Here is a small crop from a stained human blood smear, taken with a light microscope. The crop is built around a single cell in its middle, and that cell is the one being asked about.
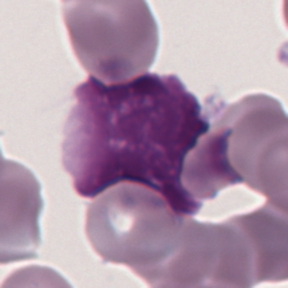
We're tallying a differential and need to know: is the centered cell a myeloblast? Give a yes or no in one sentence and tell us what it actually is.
No, rather than being a myeloblast, the central cell is a smudge cell.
